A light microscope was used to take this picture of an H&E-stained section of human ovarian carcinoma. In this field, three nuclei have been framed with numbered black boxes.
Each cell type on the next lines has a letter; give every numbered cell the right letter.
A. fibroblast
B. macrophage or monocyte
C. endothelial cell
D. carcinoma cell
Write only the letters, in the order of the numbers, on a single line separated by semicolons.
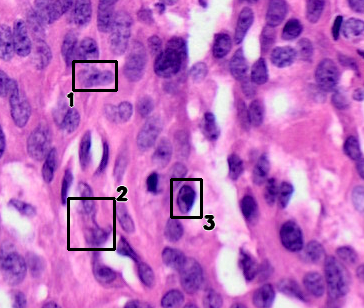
B; C; D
